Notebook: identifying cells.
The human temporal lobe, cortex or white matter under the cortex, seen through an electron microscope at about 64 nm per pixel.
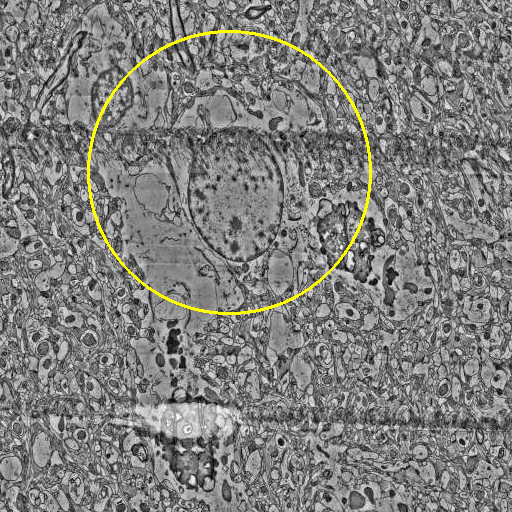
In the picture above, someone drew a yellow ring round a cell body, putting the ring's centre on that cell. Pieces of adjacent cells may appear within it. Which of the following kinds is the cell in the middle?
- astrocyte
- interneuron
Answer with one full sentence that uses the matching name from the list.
In this picture, the yellow ring is centred on the body of an astrocyte.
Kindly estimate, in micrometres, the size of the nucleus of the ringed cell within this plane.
The nucleus of the ringed cell is approximately 8 by 6 micrometres in this plane.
